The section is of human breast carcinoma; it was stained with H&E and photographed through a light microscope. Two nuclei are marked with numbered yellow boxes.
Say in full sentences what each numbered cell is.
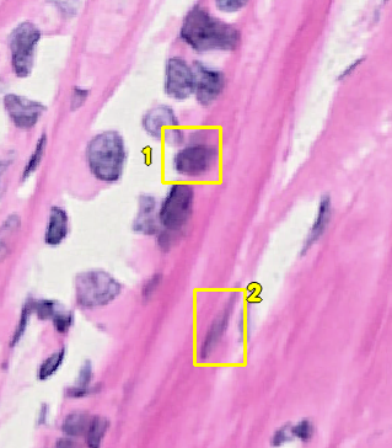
Cell 1 is a carcinoma cell and cell 2 is a fibroblast.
